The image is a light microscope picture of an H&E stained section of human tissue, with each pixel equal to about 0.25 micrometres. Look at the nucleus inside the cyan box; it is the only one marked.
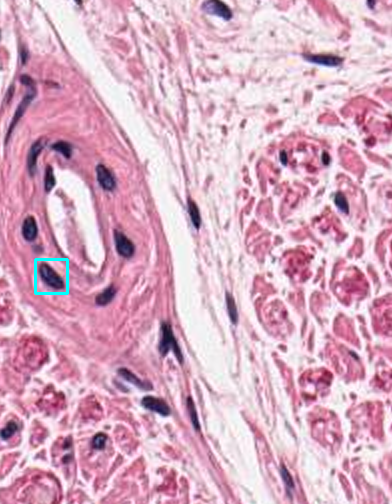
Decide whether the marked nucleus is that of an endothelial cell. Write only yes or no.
no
